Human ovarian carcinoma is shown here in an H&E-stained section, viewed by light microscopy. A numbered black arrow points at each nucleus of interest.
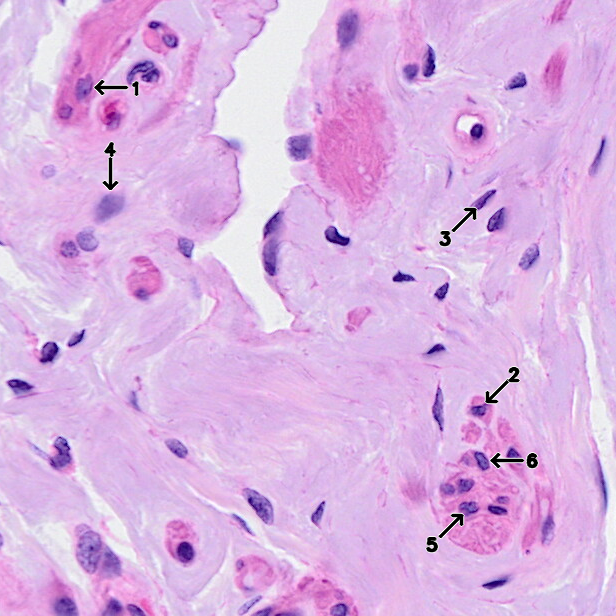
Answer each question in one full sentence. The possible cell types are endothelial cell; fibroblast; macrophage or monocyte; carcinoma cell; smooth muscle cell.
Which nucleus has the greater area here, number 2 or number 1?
Of the two, number 1 is bigger and takes up about 2.5 times the area of number 2.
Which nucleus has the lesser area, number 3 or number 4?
Number 3 is smaller, since number 4 takes up about 3 times as much area.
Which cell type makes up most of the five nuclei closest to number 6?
Smooth muscle cells make up most of the five nuclei closest to number 6.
